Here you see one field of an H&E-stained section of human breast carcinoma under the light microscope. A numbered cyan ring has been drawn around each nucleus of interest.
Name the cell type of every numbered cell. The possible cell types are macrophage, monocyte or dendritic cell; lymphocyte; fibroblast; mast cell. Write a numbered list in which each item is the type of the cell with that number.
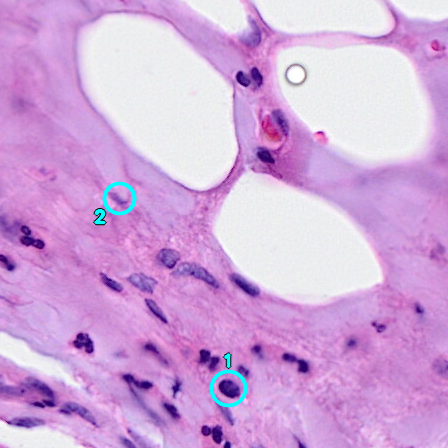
1. lymphocyte
2. fibroblast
